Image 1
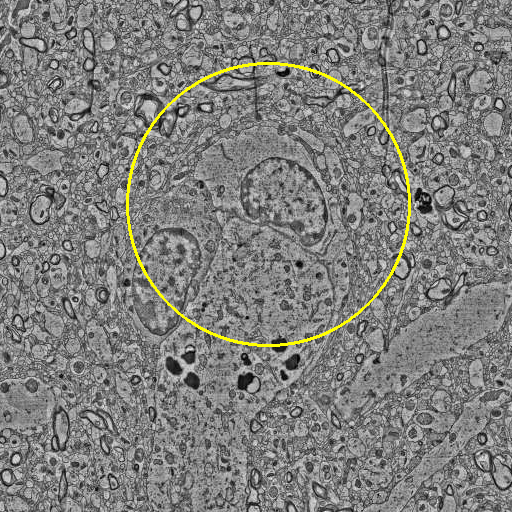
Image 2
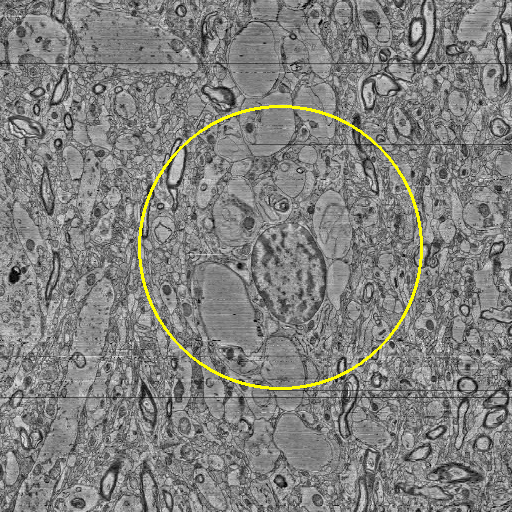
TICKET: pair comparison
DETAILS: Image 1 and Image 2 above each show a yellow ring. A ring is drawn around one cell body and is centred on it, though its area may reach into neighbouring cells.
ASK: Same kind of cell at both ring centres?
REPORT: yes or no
yes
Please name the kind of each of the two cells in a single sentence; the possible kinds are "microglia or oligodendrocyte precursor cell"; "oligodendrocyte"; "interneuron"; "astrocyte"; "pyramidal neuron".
The ring centre holds a microglial cell or oligodendrocyte precursor cell in each of the two pictures.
